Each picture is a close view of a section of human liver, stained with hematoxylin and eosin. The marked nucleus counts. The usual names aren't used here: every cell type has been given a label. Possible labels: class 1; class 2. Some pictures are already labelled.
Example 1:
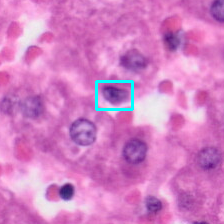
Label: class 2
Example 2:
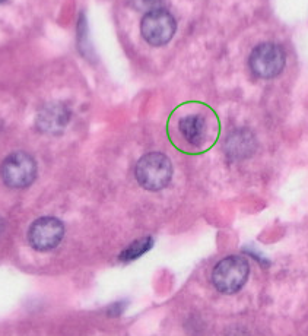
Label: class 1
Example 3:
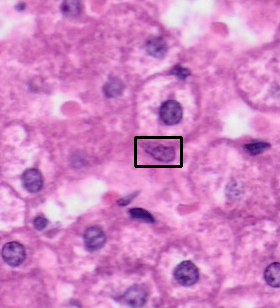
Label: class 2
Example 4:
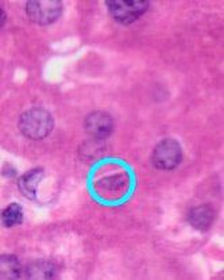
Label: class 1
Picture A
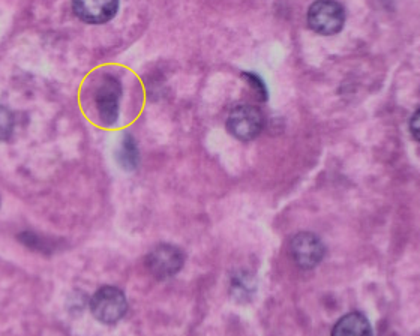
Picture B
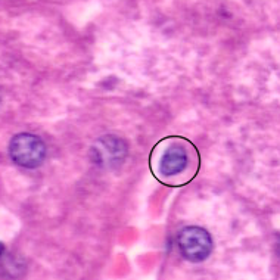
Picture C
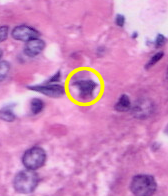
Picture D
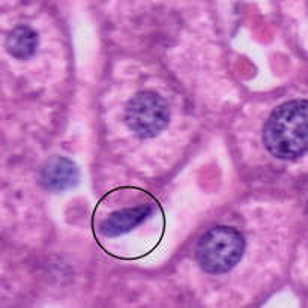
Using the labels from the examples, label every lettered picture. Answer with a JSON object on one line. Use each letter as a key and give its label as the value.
{"A": "class 2", "B": "class 2", "C": "class 1", "D": "class 2"}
